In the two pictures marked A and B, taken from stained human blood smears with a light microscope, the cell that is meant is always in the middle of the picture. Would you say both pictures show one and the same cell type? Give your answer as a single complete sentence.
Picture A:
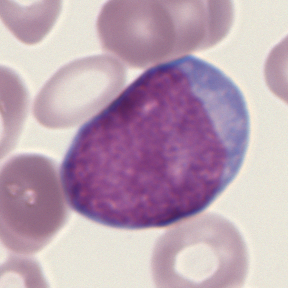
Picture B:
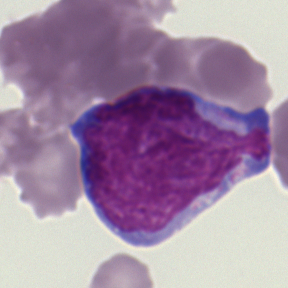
Yes, they are the same type: both are myeloblasts.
